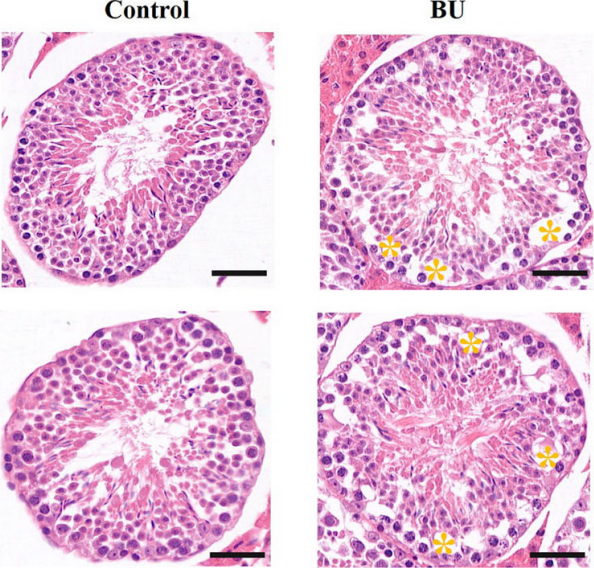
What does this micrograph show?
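These are cross sections of testis tubules stained pink and purple, each filled by a thick layered lining of developing sperm cells around a central lumen. Near the outer rim sit small cells with dark, dense nuclei. Toward the lumen there are many elongated cells with dark heads and pink cytoplasm, arranged in radiating bundles that point to the centre. In several of the sections, clear, empty, rounded spaces open within the lining near the rim, and yellow asterisks mark these spaces. The remaining sections show an unbroken, densely packed lining.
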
